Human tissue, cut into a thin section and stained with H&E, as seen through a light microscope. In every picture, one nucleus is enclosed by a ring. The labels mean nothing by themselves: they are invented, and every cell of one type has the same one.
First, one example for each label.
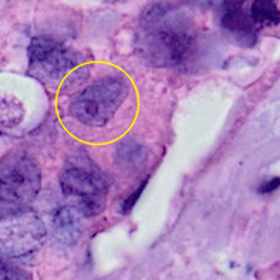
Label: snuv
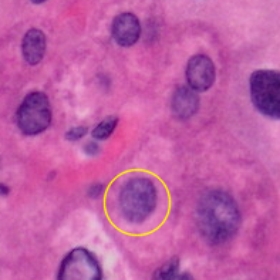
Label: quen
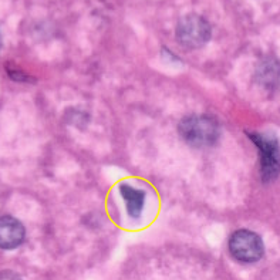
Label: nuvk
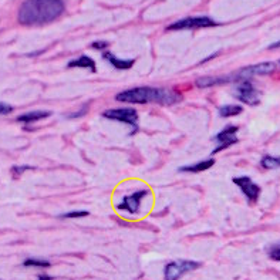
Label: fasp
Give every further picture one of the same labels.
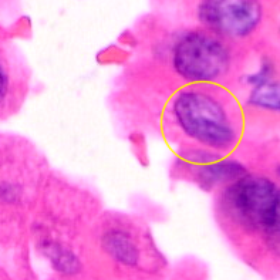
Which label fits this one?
snuv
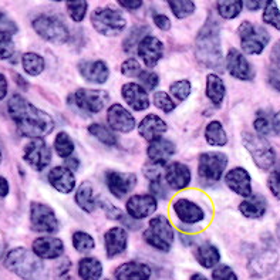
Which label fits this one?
nuvk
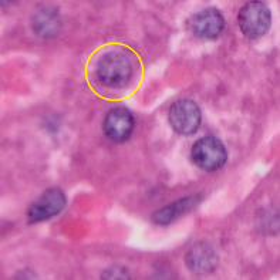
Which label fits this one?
quen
